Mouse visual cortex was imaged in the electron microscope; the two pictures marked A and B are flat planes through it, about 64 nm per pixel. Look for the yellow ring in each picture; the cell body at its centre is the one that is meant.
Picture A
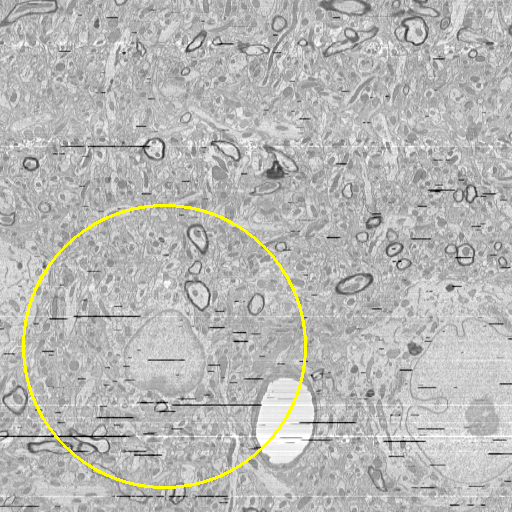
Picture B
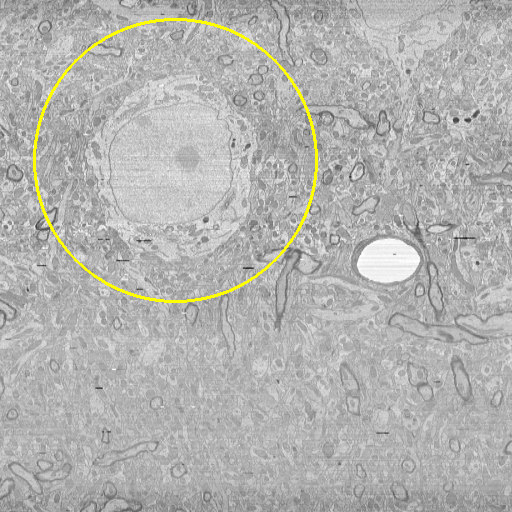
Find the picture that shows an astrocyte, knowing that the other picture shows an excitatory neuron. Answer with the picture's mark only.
A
